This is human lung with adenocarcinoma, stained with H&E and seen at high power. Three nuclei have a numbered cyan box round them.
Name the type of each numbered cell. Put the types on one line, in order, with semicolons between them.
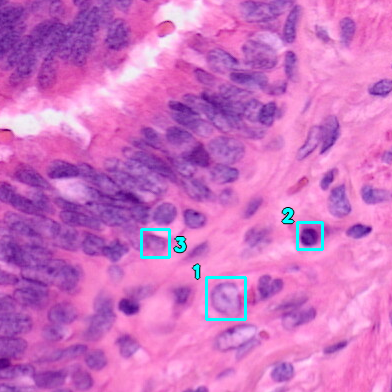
endothelial cell; plasma cell; ciliated epithelial cell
